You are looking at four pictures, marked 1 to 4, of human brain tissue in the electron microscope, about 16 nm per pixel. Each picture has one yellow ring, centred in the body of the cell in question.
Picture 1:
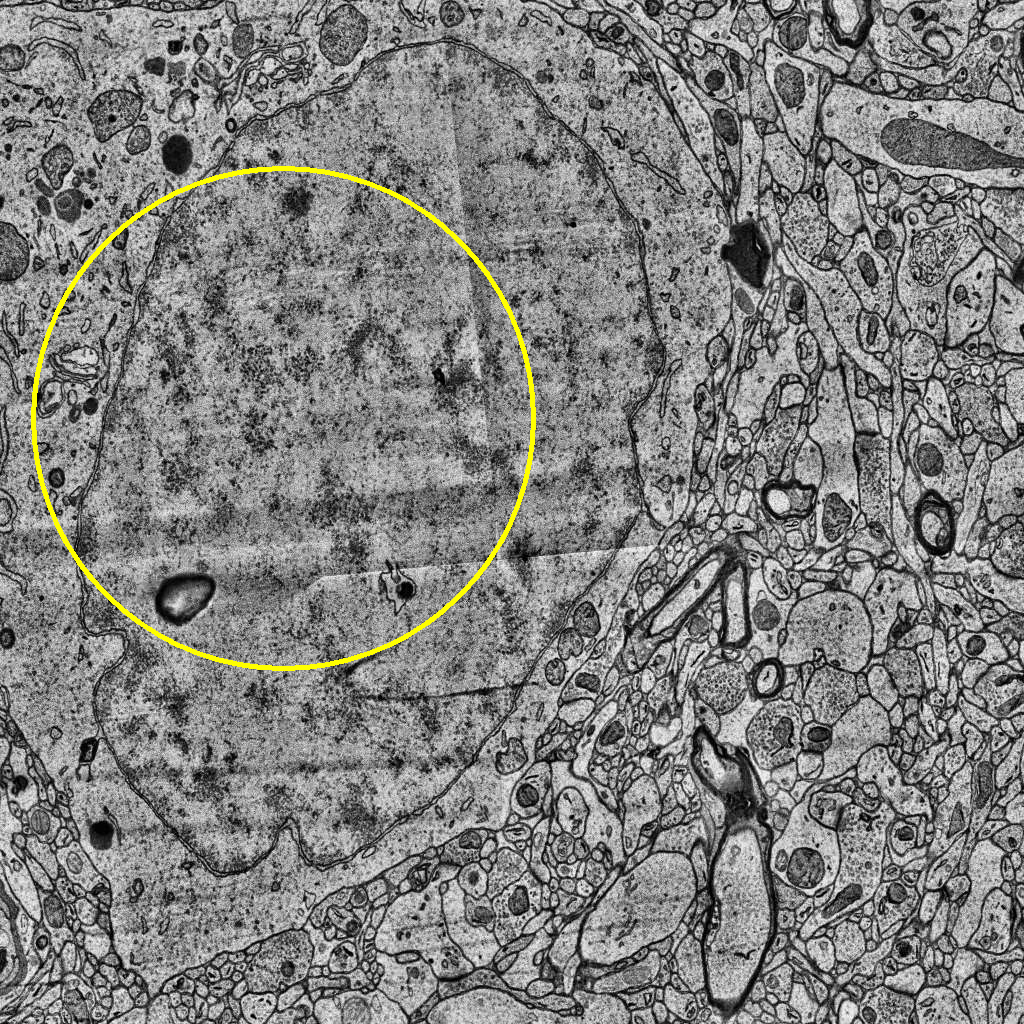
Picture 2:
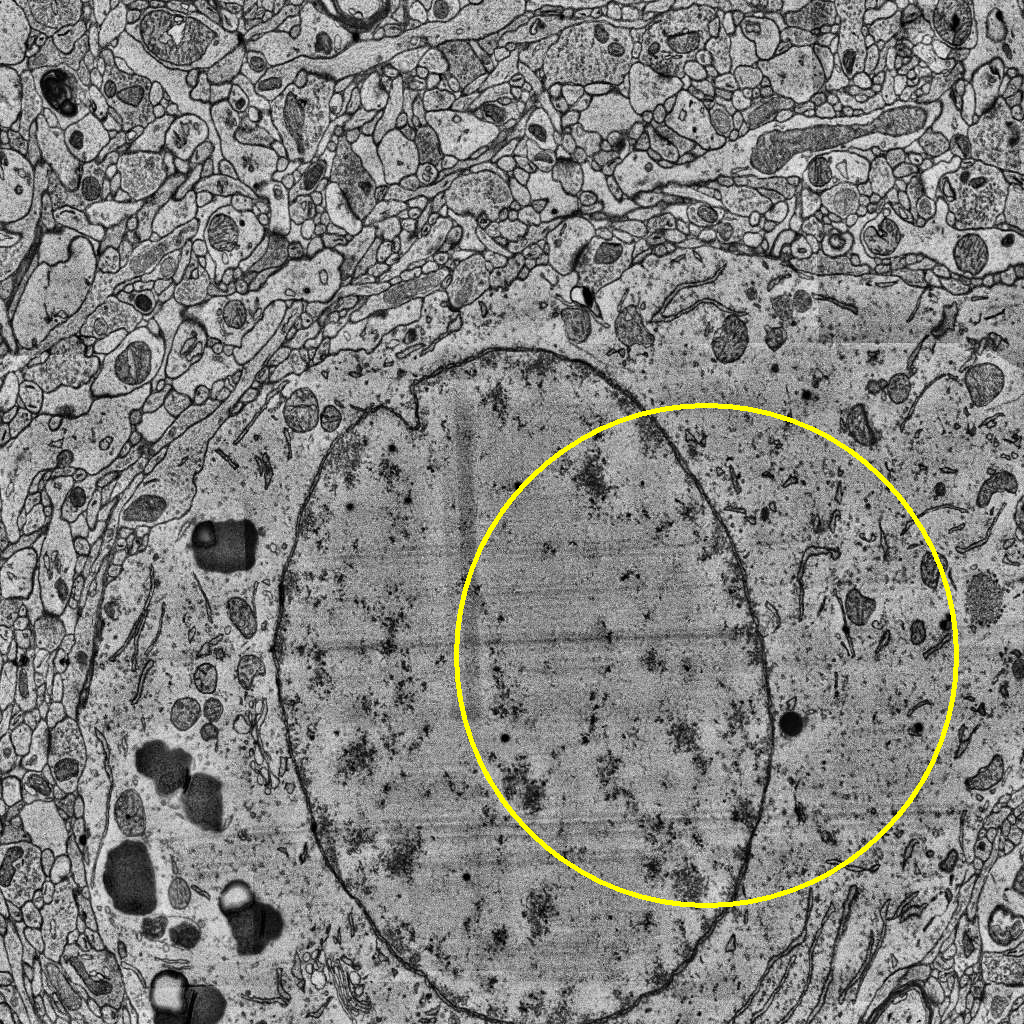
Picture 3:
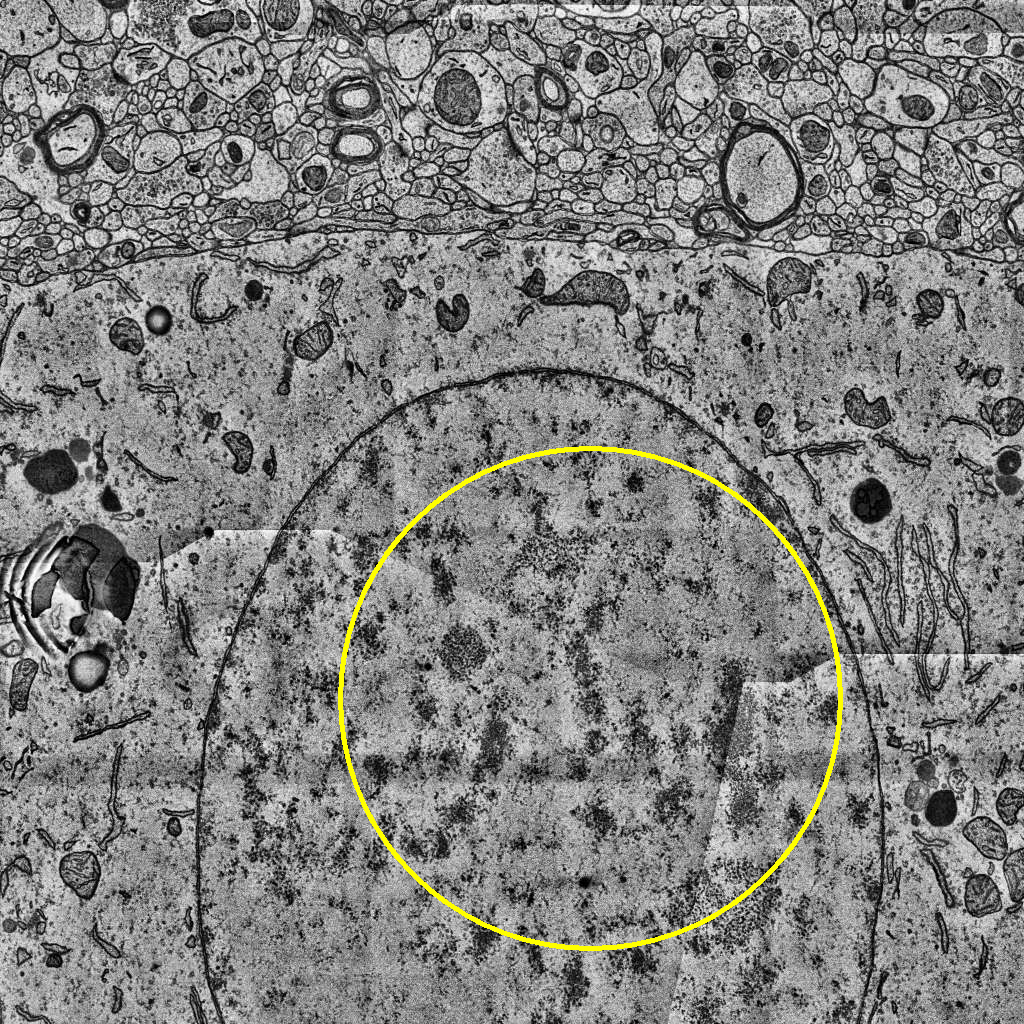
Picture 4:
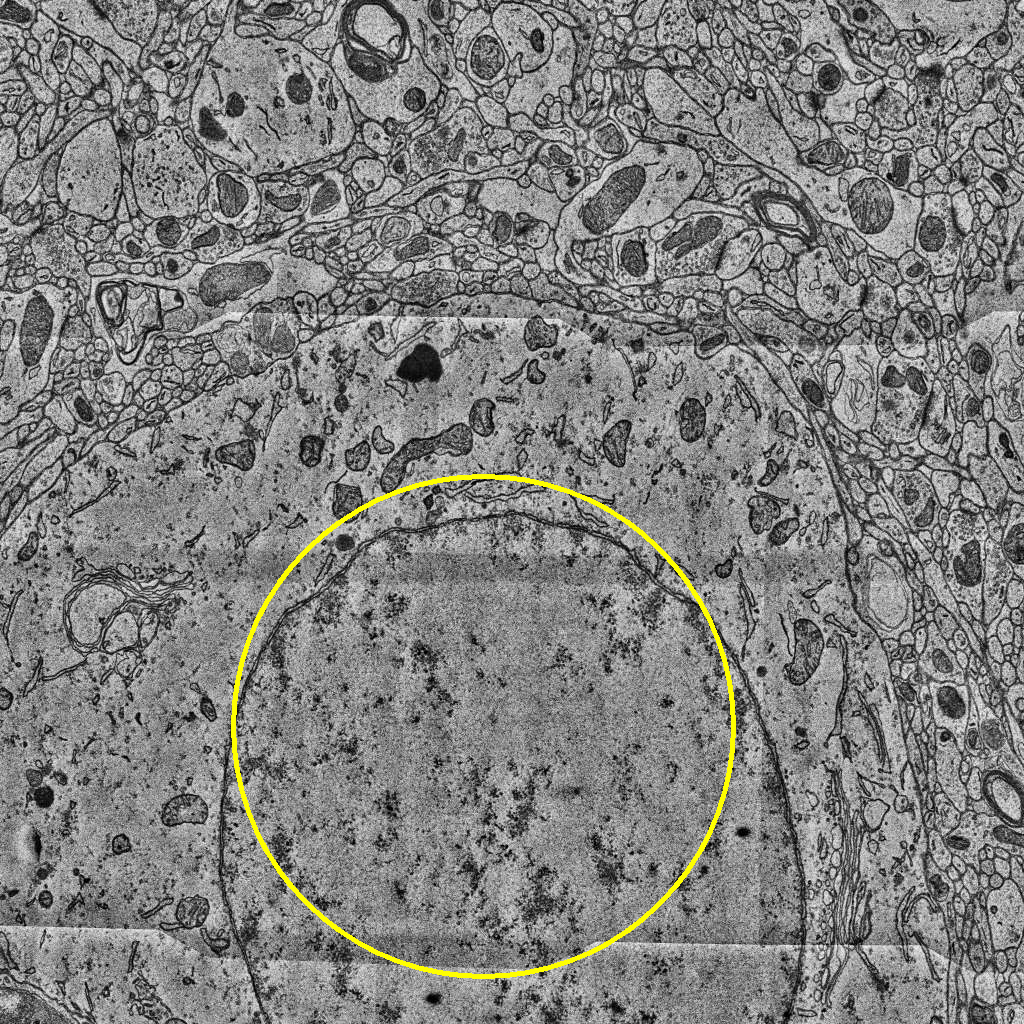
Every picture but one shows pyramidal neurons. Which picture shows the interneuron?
The interneuron is the one in picture 1.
